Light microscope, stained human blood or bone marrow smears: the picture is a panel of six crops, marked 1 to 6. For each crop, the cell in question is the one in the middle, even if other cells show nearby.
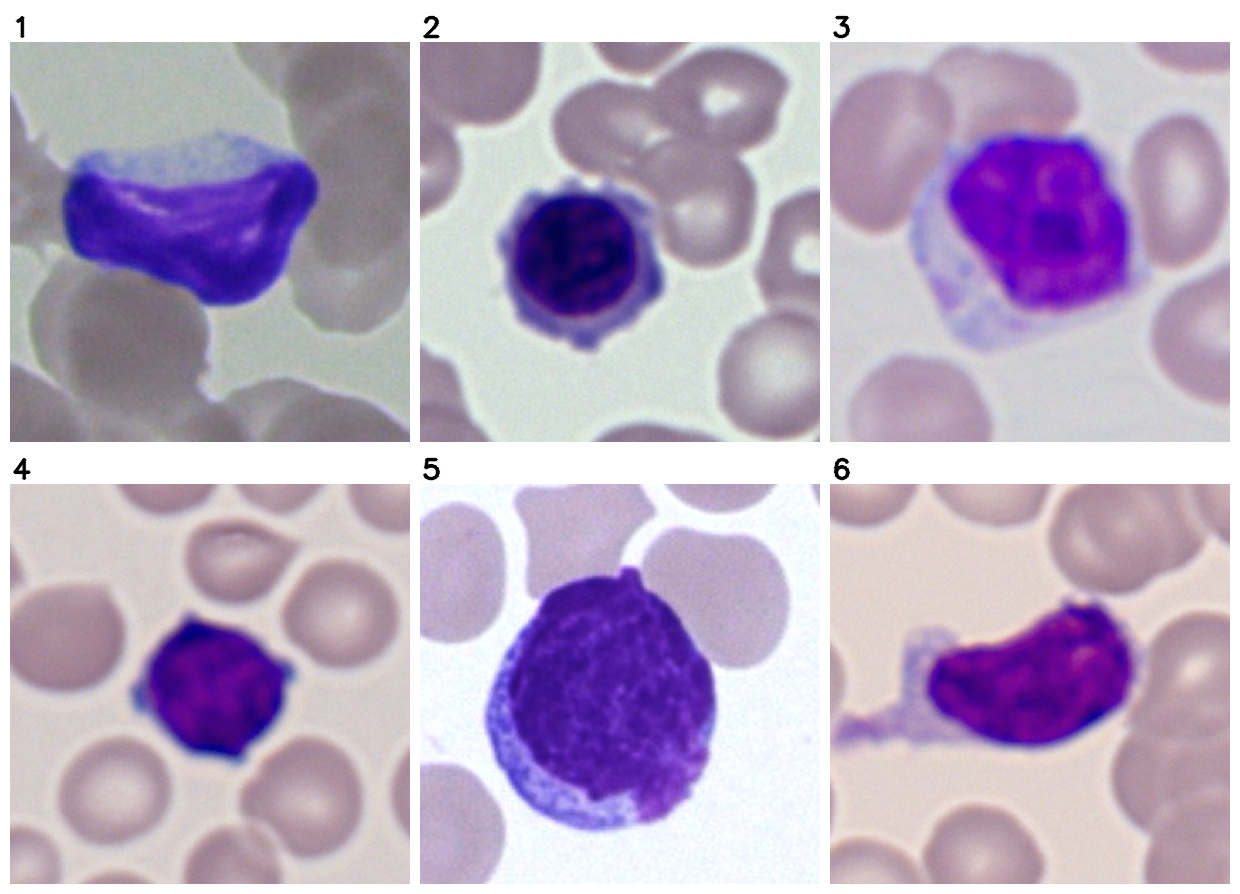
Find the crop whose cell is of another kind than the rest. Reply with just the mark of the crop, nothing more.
2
